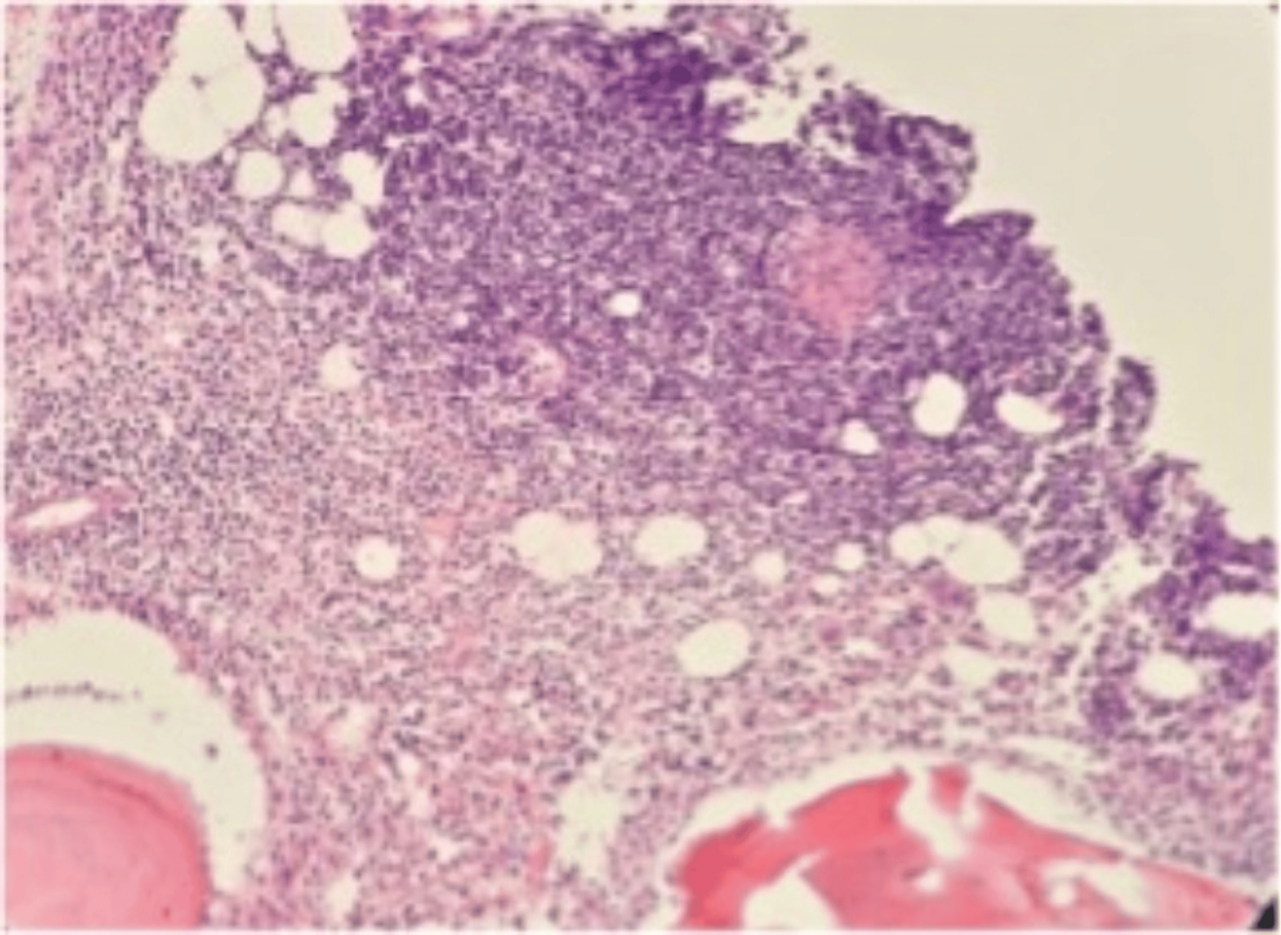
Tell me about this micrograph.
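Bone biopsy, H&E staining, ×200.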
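Scattered round, empty fat vacuoles of varied size lie throughout the cellular tissue, and are most crowded at the upper left. Toward the upper right there is a small, ill-defined, paler pink focus set within the dense cellular tissue.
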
